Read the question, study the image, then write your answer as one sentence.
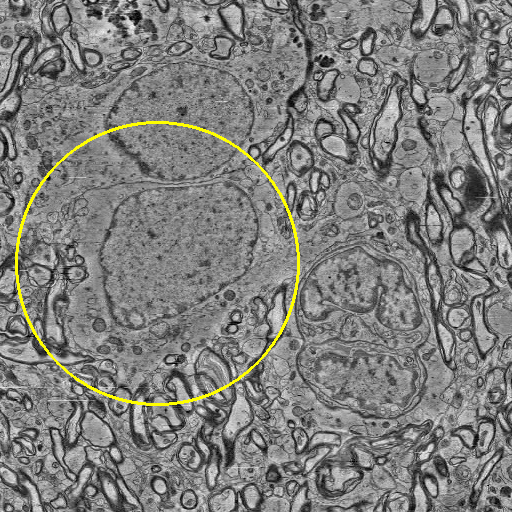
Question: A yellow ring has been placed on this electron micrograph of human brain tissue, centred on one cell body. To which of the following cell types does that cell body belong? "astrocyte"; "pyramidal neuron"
That cell body belongs to an astrocyte.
